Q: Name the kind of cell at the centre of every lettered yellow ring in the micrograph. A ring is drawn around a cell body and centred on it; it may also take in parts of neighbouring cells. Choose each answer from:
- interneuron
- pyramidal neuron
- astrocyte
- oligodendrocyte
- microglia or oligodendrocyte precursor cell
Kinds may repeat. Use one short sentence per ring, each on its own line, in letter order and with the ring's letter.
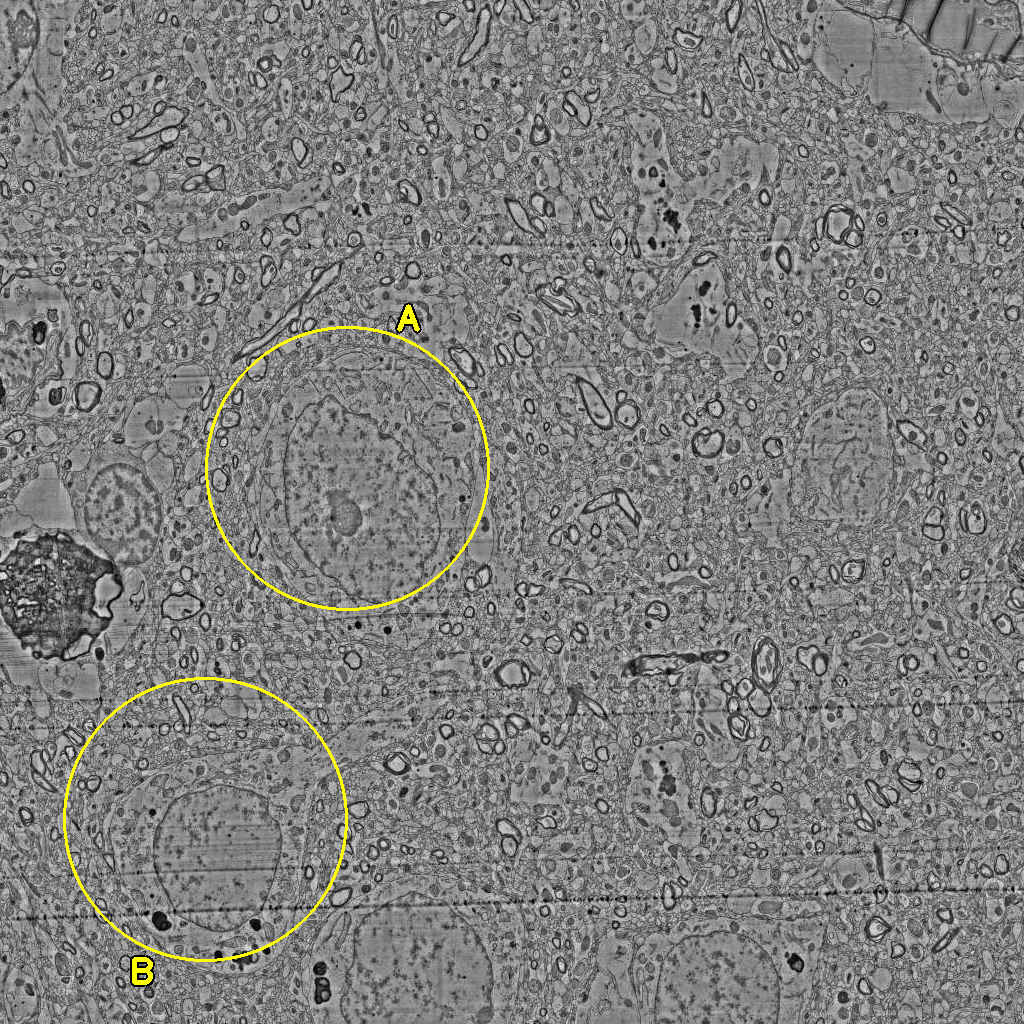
Ring A is placed around a pyramidal neuron.
Ring B is placed around a pyramidal neuron.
